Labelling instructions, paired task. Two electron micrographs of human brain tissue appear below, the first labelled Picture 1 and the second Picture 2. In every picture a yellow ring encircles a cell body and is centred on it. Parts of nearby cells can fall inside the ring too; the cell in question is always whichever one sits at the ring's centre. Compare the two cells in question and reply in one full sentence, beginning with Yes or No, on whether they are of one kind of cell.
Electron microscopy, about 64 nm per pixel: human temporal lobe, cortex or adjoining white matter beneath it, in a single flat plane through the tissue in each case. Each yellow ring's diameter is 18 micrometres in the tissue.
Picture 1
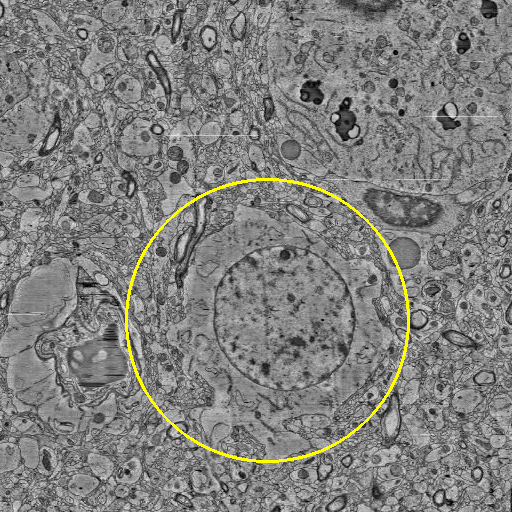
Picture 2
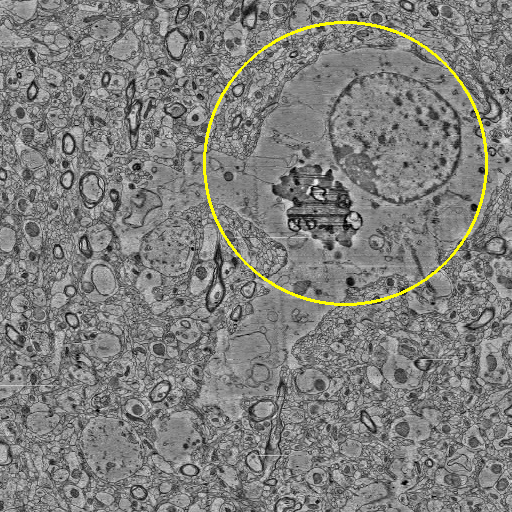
Yes, the two cells at the ring centres in Picture 1 and Picture 2 are of one kind.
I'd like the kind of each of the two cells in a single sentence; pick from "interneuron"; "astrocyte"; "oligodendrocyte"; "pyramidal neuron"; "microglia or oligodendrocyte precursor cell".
The cell at the ring centre is an astrocyte in both pictures.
